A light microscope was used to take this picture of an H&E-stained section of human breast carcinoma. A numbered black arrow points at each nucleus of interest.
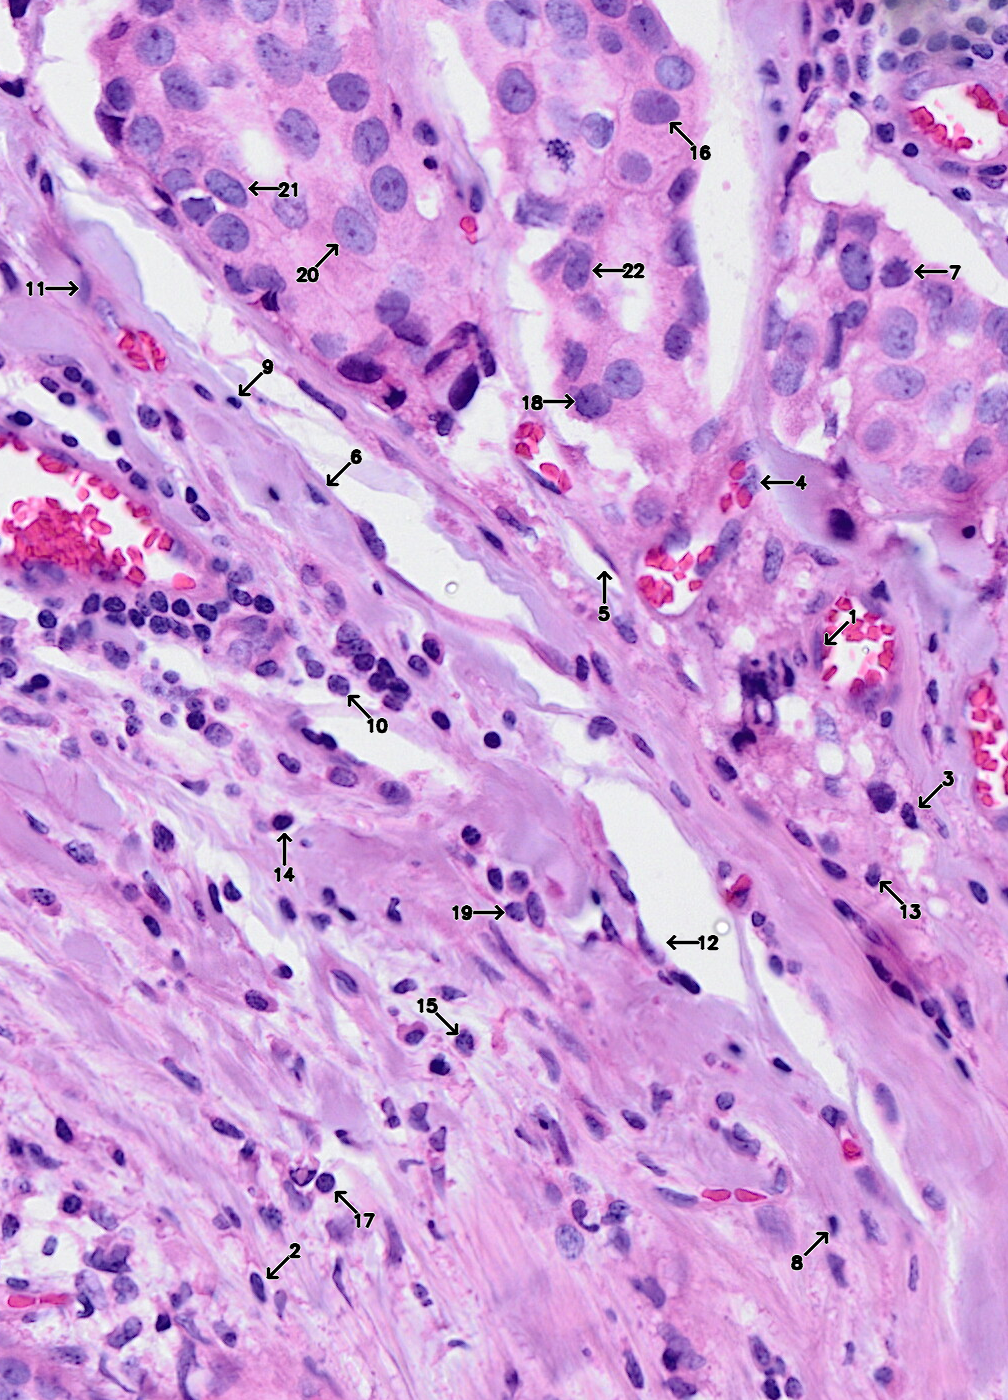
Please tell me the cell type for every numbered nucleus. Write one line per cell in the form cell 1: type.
cell 1: endothelial cell
cell 2: lymphocyte
cell 3: lymphocyte
cell 4: endothelial cell
cell 5: fibroblast
cell 6: fibroblast
cell 7: carcinoma cell
cell 8: lymphocyte
cell 9: lymphocyte
cell 10: lymphocyte
cell 11: endothelial cell
cell 12: fibroblast
cell 13: lymphocyte
cell 14: lymphocyte
cell 15: mast cell
cell 16: carcinoma cell
cell 17: lymphocyte
cell 18: carcinoma cell
cell 19: lymphocyte
cell 20: carcinoma cell
cell 21: carcinoma cell
cell 22: carcinoma cell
